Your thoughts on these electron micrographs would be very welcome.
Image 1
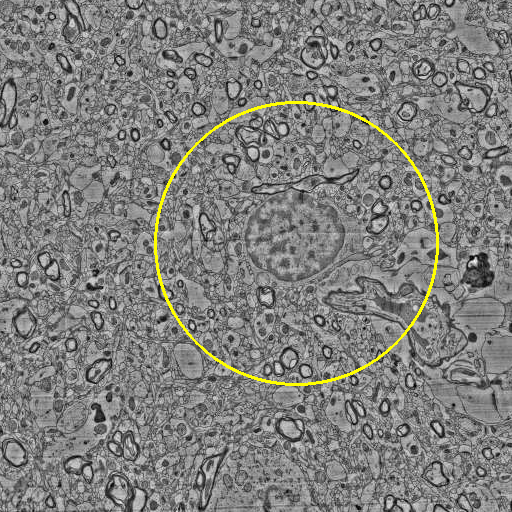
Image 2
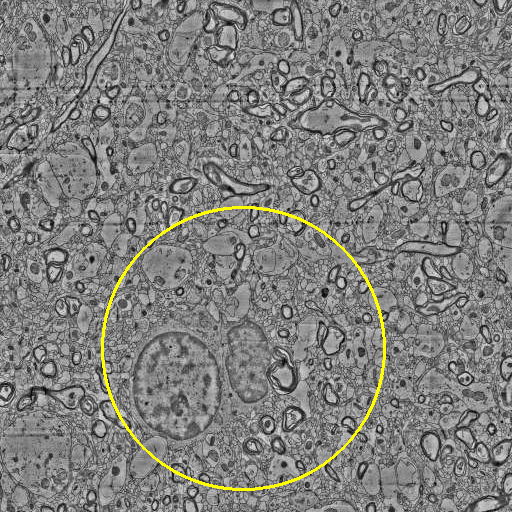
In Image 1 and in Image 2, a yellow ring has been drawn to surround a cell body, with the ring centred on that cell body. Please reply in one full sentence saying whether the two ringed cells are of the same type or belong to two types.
The ringed cells in Image 1 and Image 2 are of the same type.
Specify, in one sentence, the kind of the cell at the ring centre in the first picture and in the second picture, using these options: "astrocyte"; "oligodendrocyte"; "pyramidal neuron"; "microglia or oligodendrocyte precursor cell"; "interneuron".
Each of the two rings is centred on an oligodendrocyte.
